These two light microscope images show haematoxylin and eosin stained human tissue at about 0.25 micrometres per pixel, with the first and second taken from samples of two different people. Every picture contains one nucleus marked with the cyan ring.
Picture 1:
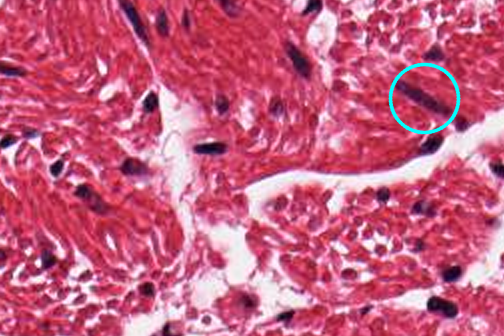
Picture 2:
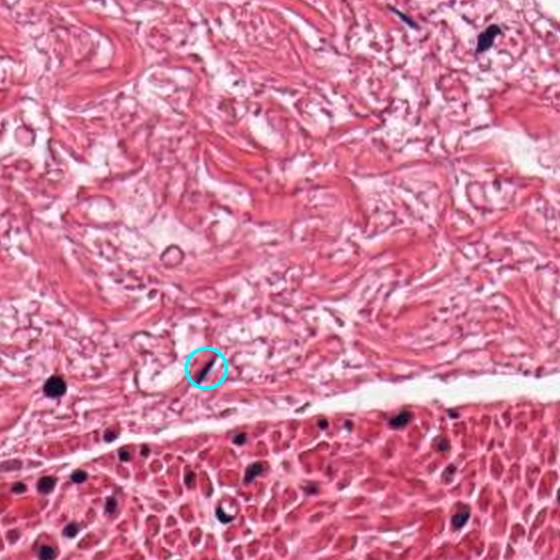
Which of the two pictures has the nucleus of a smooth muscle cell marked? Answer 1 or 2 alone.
1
